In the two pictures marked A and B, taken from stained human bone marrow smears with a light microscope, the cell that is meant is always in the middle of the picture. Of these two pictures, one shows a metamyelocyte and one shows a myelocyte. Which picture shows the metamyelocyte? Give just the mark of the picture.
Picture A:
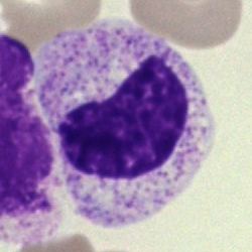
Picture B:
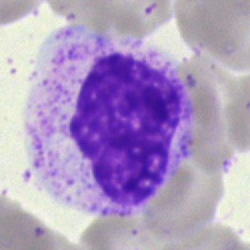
A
